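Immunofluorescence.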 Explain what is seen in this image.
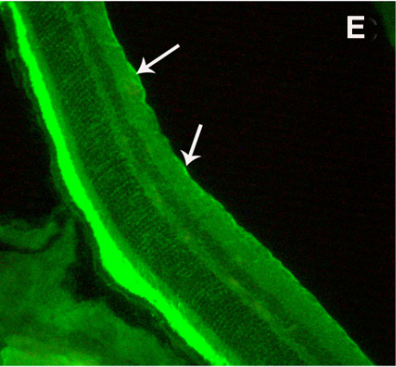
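On one side a broad, intensely green band follows the outer edge of the retina, next to a layer with fine radial striations. Further inward lie several dimmer, evenly textured layers, and the inner surface facing the dark empty space shows a thin bright edge. Loose, irregular tissue lies beyond the bright band at the lower left.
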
